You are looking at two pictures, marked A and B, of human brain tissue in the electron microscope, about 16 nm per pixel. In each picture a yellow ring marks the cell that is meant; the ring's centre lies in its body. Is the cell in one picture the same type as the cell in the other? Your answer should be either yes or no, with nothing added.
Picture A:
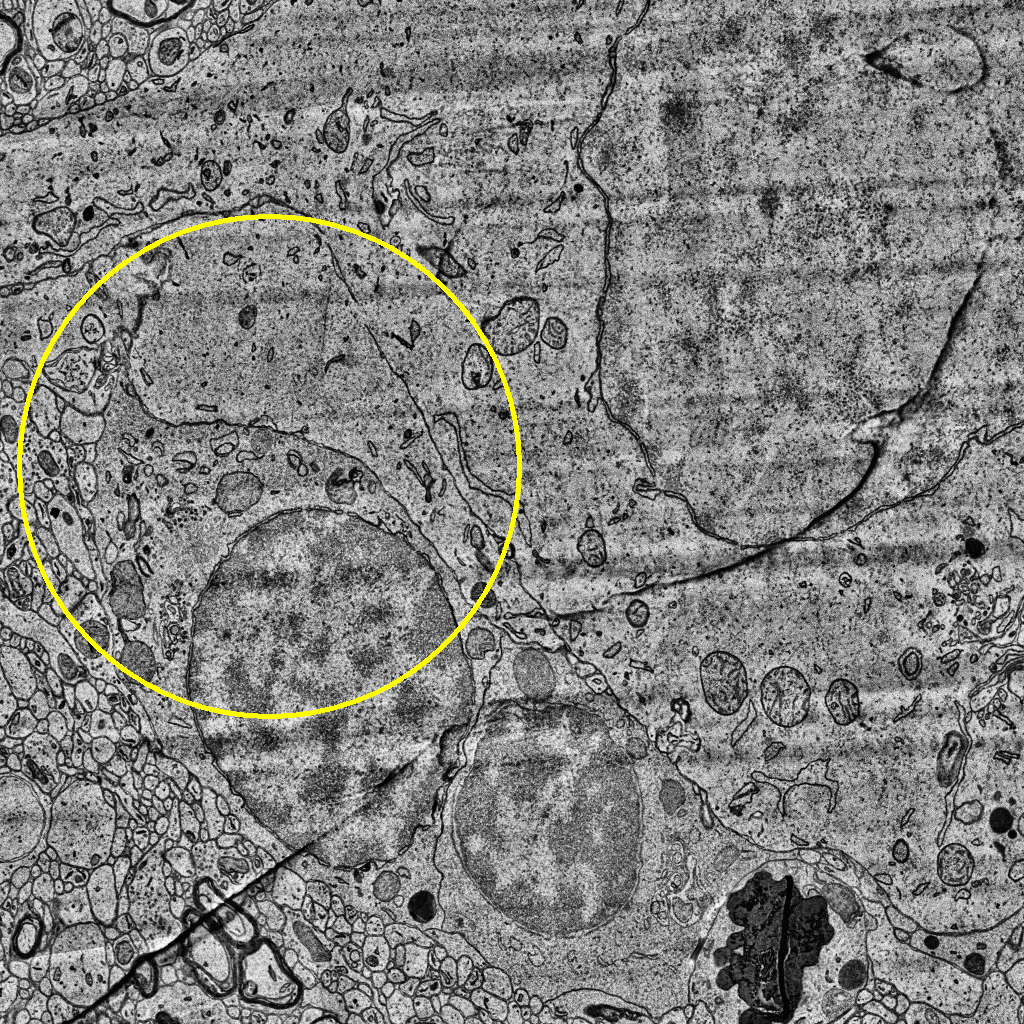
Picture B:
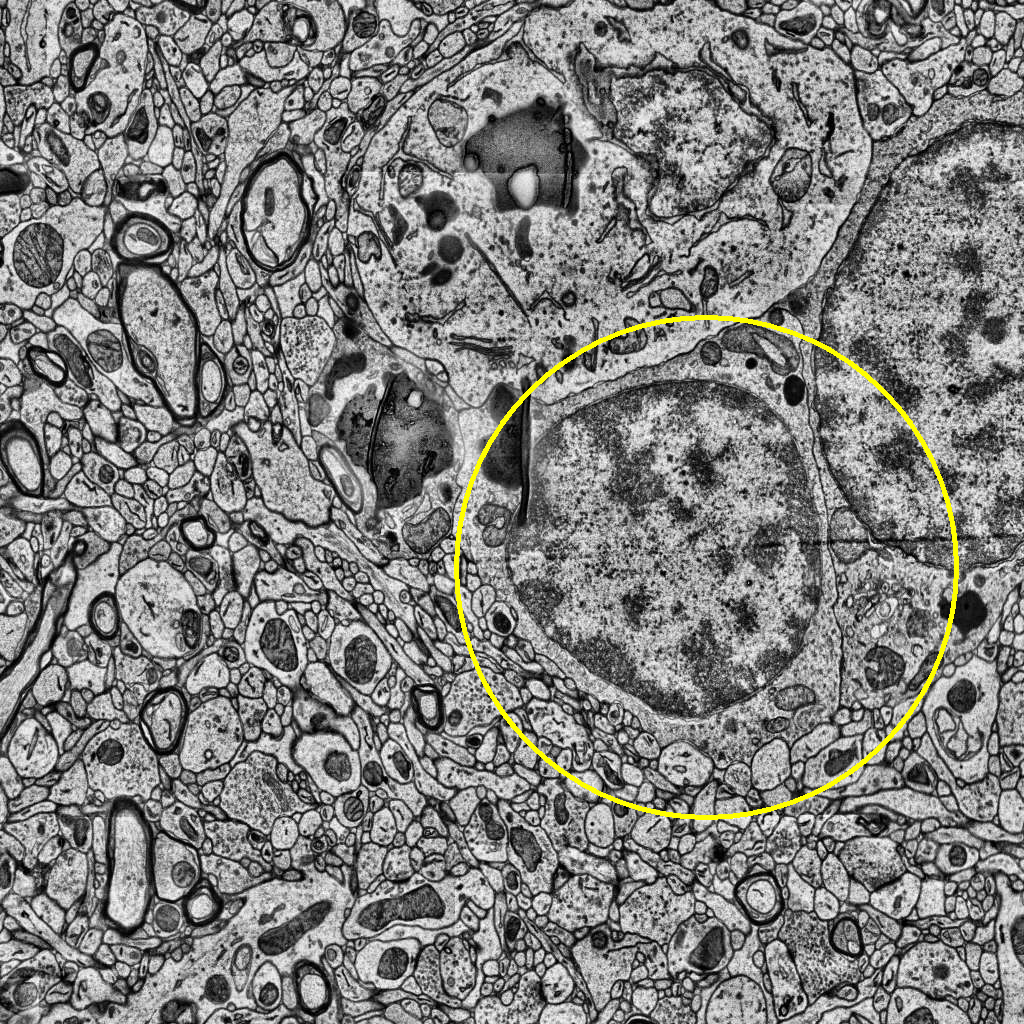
yes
